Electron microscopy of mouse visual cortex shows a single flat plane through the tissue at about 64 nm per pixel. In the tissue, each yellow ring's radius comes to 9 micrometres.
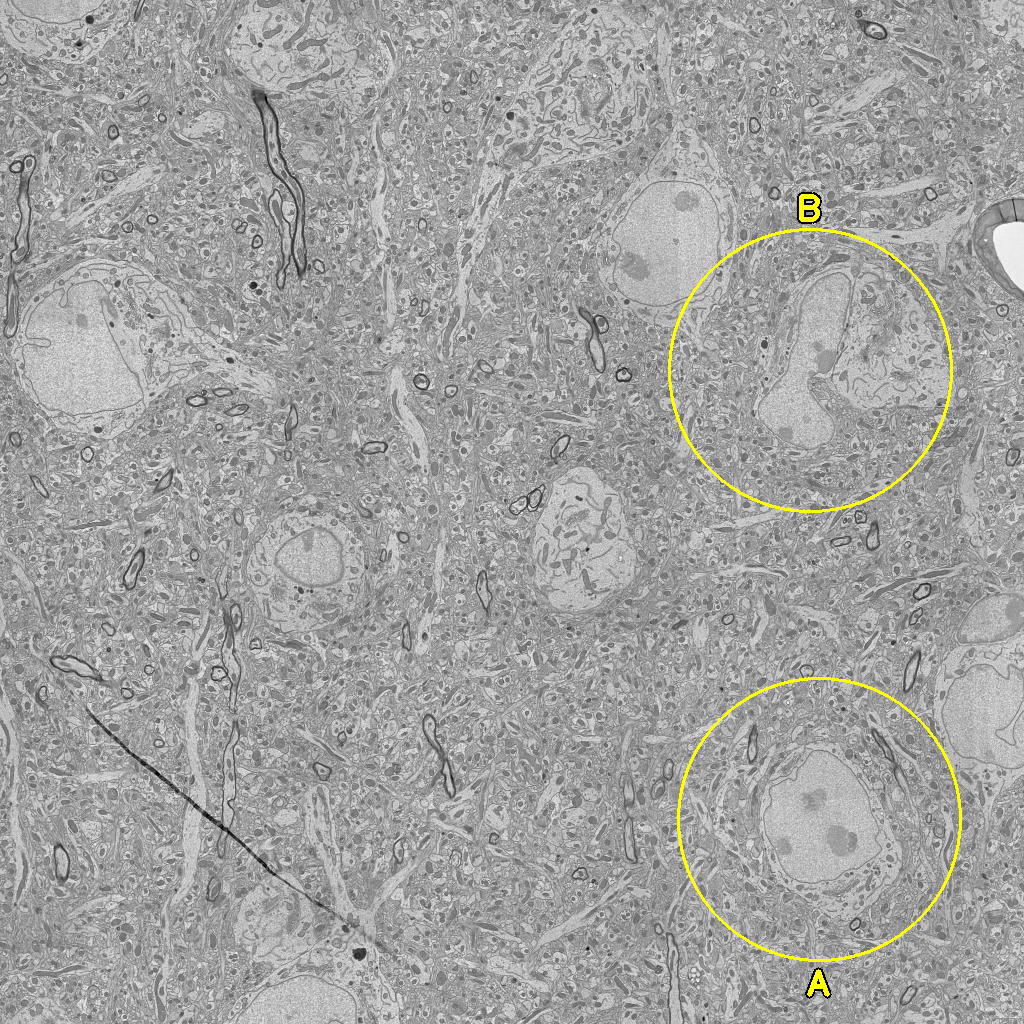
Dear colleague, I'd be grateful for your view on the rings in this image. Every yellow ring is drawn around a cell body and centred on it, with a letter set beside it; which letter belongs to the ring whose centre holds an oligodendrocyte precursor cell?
B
